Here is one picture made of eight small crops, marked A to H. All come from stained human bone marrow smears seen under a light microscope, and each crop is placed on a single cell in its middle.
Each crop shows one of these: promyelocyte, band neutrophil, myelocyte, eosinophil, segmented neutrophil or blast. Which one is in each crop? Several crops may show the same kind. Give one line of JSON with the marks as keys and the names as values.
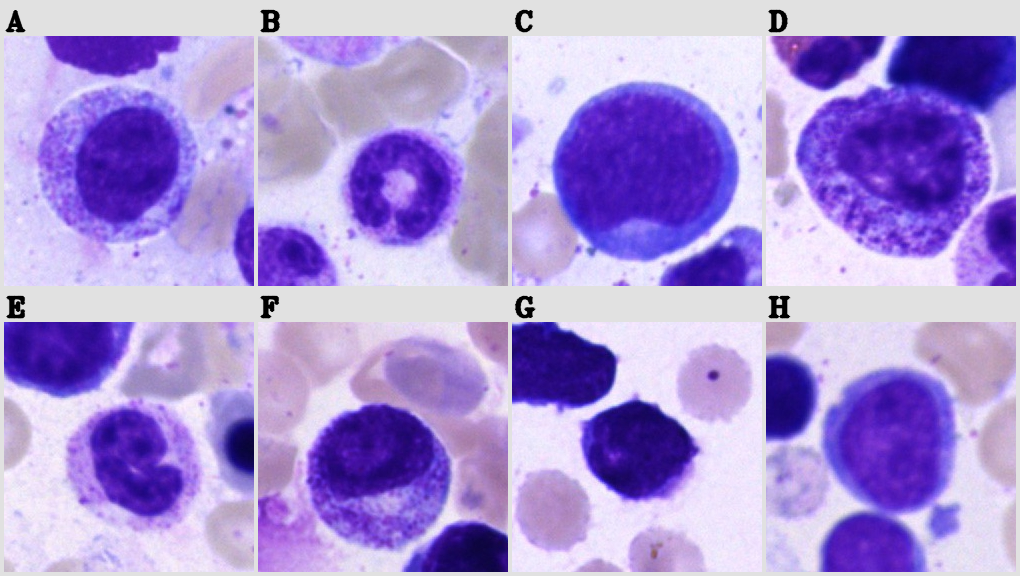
{"A": "myelocyte", "B": "band neutrophil", "C": "blast", "D": "promyelocyte", "E": "segmented neutrophil", "F": "myelocyte", "G": "blast", "H": "blast"}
